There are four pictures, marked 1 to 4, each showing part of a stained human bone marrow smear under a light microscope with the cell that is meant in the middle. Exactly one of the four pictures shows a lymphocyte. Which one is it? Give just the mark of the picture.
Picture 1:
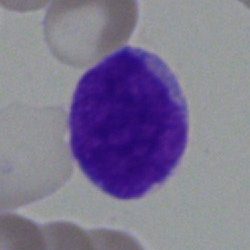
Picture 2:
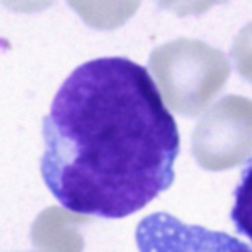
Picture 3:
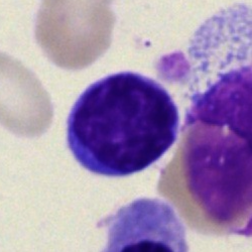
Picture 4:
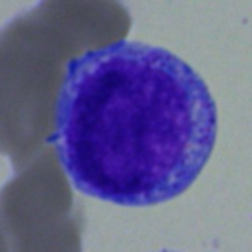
3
